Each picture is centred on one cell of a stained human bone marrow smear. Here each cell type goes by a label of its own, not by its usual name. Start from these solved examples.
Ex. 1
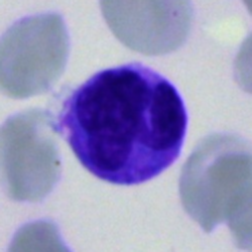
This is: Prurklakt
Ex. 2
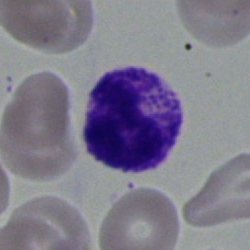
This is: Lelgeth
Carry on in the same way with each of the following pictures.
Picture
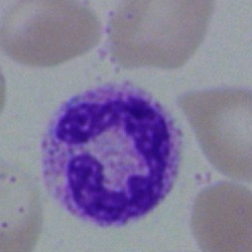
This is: Lelgeth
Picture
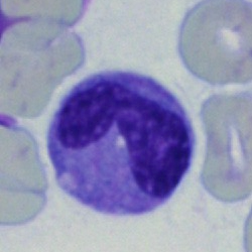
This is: Prurklakt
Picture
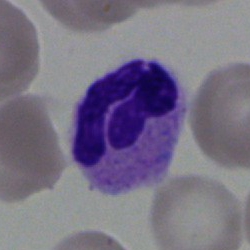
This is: Lelgeth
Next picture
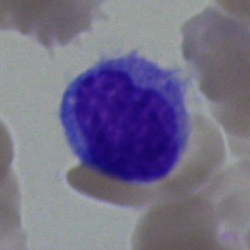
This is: Prurklakt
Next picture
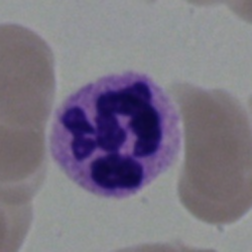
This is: Lelgeth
